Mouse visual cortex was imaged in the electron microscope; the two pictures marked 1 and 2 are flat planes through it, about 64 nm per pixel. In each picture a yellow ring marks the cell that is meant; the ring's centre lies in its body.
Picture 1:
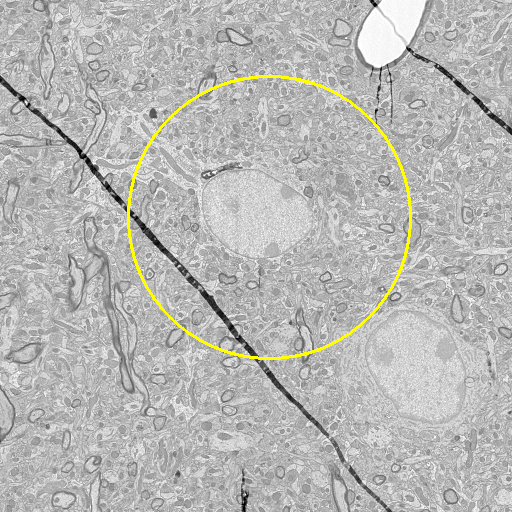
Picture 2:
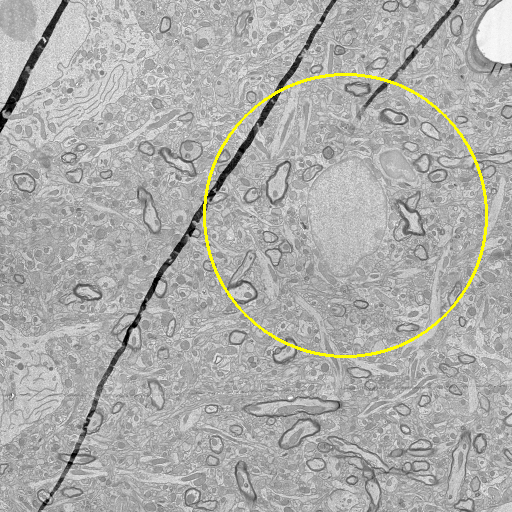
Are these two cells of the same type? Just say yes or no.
yes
